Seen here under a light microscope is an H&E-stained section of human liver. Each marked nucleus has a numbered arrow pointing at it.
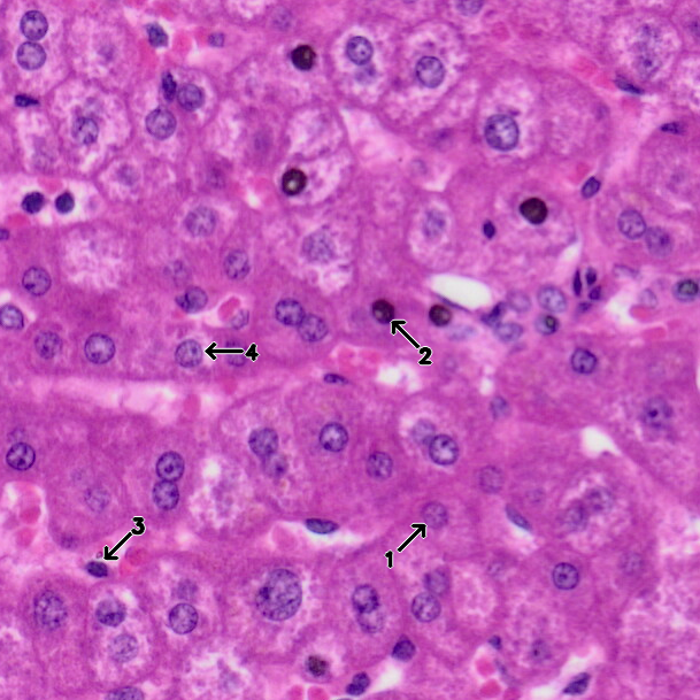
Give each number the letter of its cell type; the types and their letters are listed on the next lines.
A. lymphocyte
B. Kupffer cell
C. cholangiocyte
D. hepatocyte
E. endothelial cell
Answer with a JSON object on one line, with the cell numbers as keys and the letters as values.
{"1": "D", "2": "D", "3": "A", "4": "D"}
